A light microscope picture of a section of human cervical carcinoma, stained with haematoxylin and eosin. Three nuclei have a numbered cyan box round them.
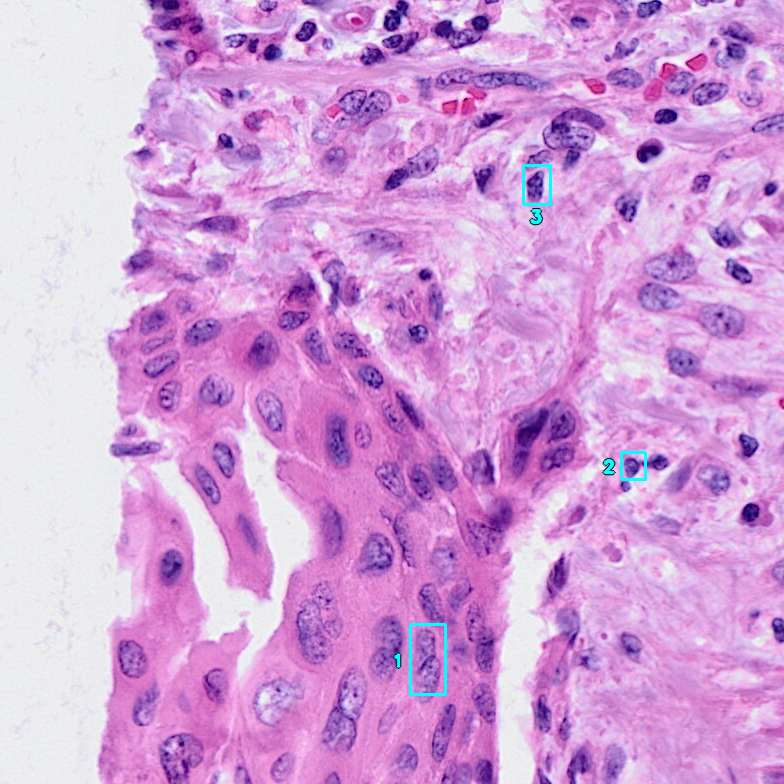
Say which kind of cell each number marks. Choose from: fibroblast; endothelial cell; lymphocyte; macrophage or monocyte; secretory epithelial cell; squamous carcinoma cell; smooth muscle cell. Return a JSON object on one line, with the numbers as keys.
{"1": "squamous carcinoma cell", "2": "lymphocyte", "3": "lymphocyte"}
